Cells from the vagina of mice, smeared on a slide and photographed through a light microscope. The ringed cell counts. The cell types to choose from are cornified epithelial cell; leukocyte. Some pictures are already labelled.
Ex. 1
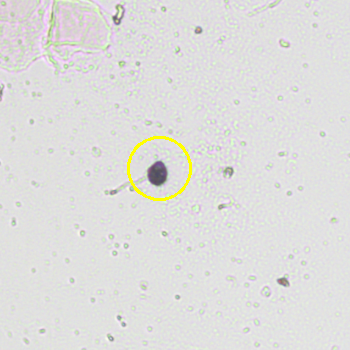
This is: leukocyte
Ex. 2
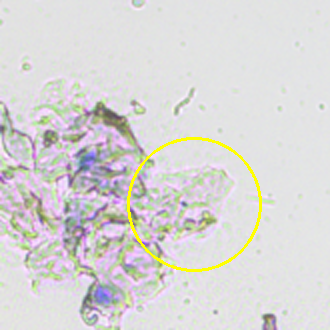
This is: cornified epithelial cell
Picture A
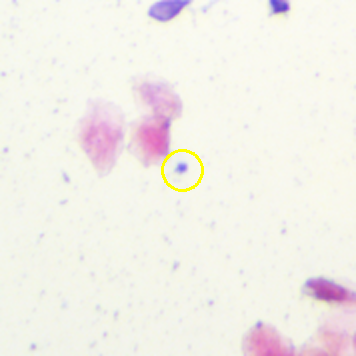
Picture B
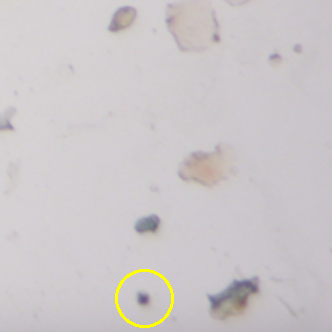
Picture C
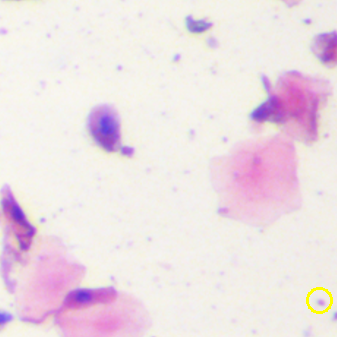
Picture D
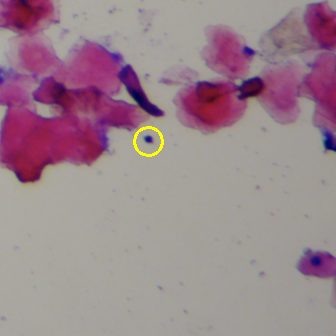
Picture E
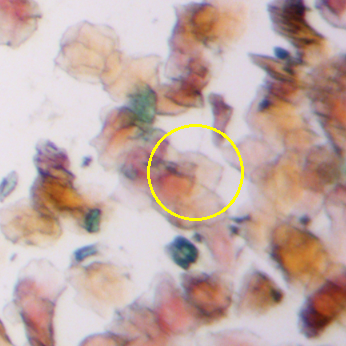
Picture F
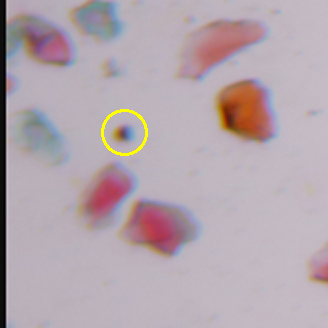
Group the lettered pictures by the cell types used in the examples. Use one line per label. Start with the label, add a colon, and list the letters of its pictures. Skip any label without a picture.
cornified epithelial cell: E
leukocyte: A, B, C, D, F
